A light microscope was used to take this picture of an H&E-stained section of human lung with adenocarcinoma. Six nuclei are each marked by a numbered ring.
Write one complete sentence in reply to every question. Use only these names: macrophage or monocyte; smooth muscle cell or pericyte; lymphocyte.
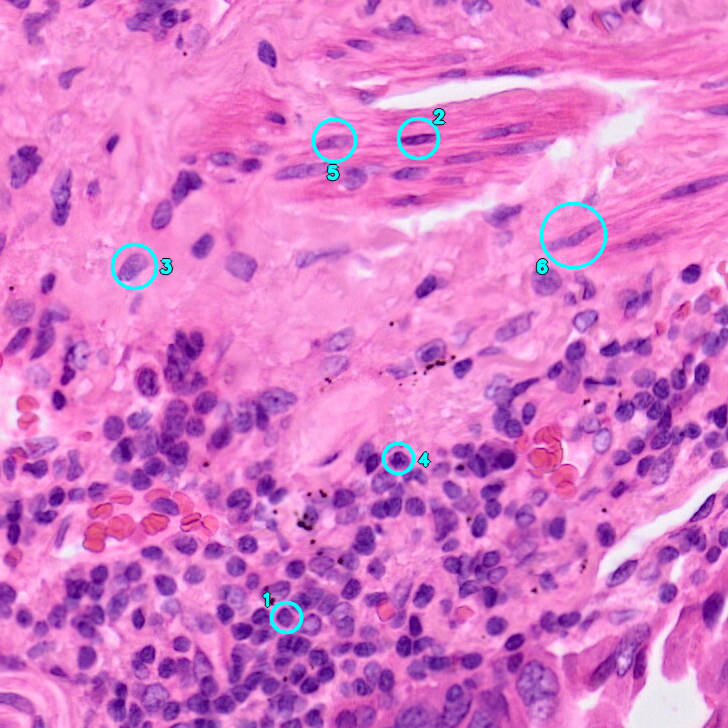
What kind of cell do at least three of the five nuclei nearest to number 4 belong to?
Lymphocytes account for more than half of the five nuclei nearest to number 4.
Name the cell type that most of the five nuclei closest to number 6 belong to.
Around number 6, most of the five nearest nuclei are those of macrophages or monocytes.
